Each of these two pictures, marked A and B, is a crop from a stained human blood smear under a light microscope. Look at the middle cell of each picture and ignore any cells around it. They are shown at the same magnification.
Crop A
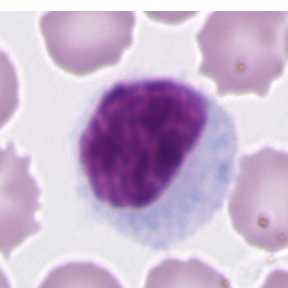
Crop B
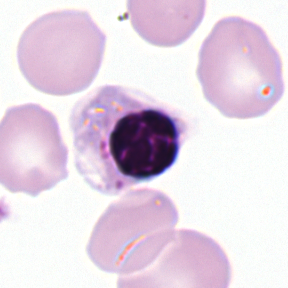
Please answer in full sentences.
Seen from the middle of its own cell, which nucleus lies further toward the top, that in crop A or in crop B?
In crop A the nucleus is shifted more toward the top.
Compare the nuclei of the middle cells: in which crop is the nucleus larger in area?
The nucleus in crop A is larger, with about 3 times the area of the one in crop B.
